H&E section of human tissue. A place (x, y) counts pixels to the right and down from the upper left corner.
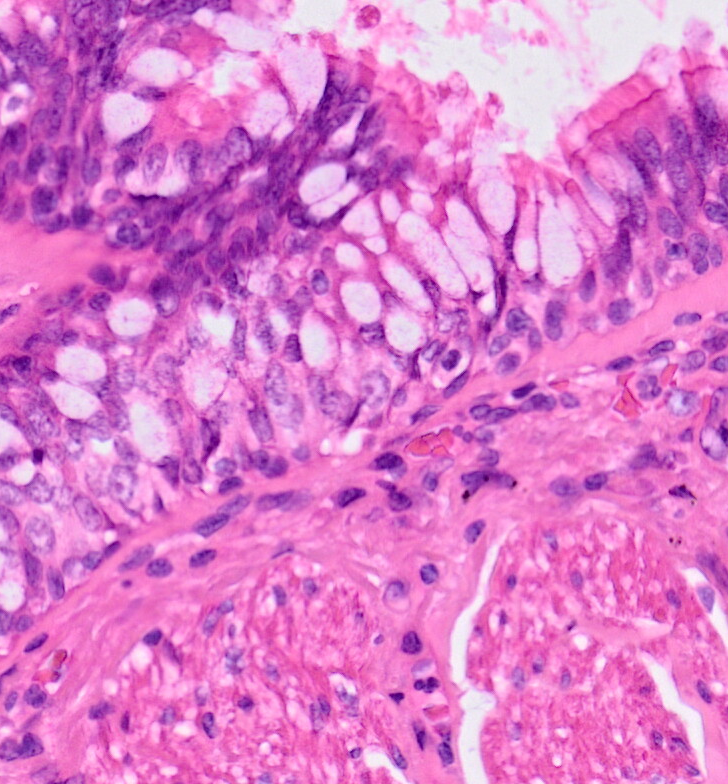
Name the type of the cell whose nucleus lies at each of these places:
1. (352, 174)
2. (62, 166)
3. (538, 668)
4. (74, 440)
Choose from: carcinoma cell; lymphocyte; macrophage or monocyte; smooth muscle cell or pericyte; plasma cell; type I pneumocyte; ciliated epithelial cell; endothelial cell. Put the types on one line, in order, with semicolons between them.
ciliated epithelial cell; ciliated epithelial cell; smooth muscle cell or pericyte; ciliated epithelial cell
